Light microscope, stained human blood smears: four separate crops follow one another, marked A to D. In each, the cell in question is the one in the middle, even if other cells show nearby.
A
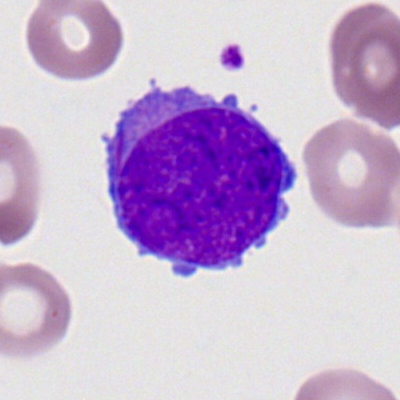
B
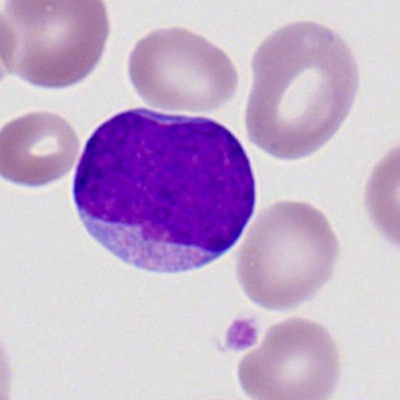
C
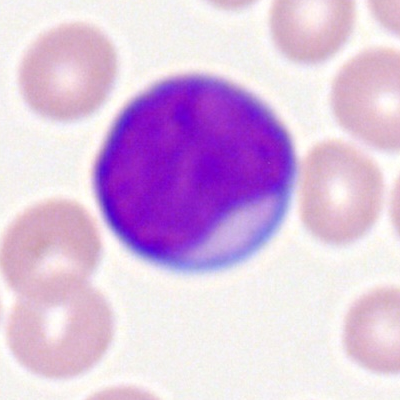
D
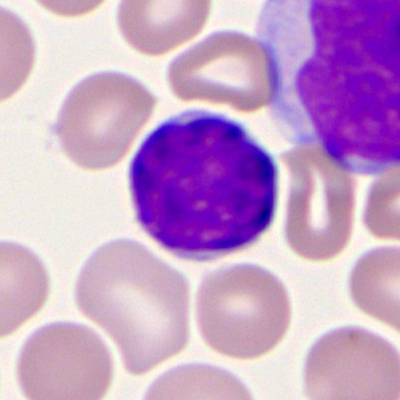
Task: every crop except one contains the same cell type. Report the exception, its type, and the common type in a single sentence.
The cells centred in the other crops are all myeloblasts, but crop D is a lymphocyte.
